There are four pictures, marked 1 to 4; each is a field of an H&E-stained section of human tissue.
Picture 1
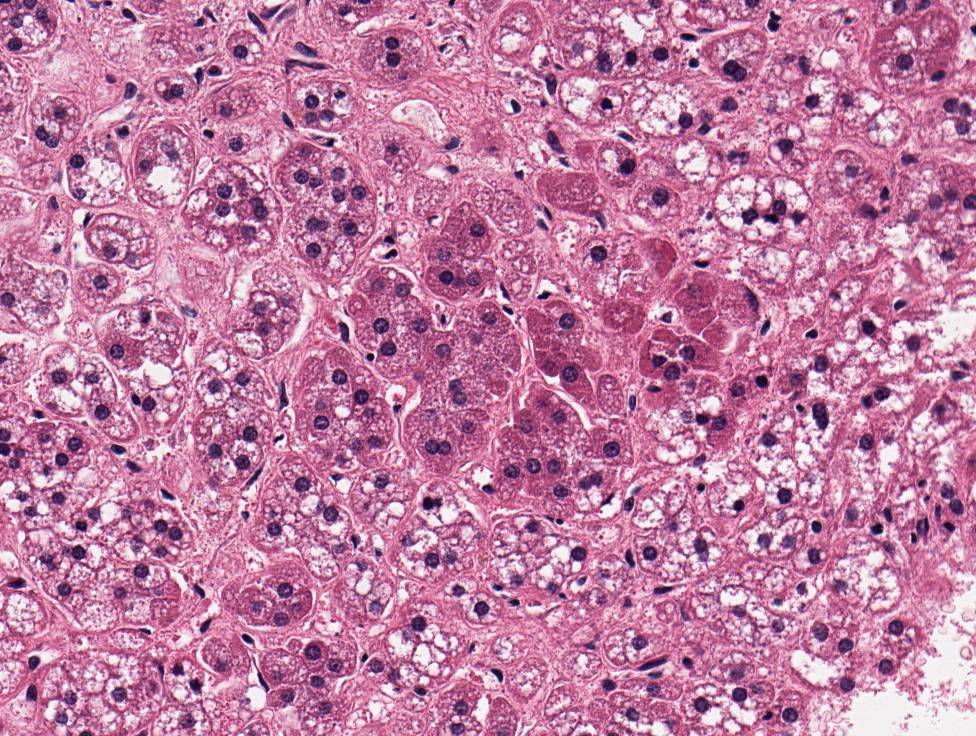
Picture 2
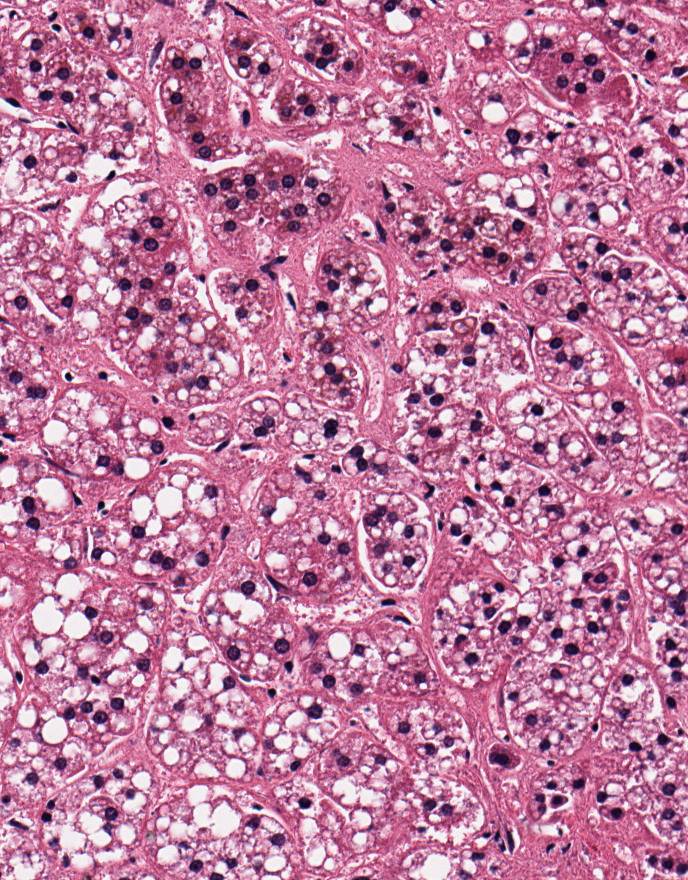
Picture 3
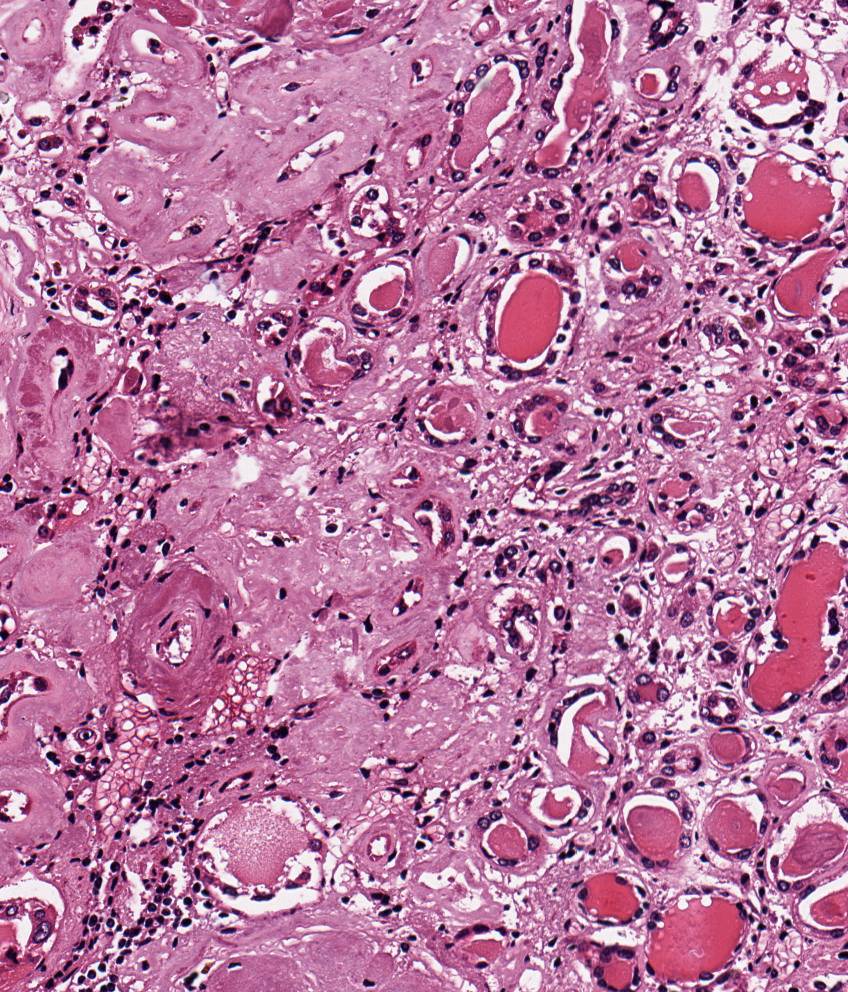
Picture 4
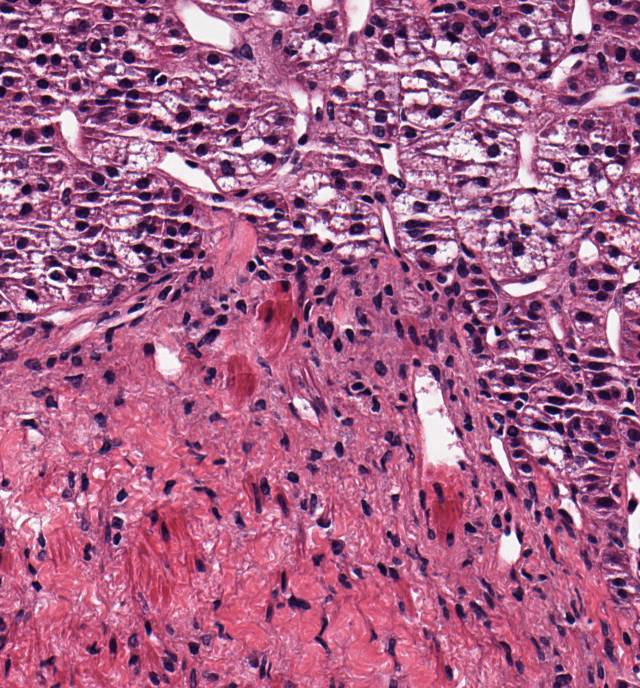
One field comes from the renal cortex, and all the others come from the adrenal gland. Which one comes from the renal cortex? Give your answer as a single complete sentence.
Picture 3 is the field that comes from the renal cortex.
